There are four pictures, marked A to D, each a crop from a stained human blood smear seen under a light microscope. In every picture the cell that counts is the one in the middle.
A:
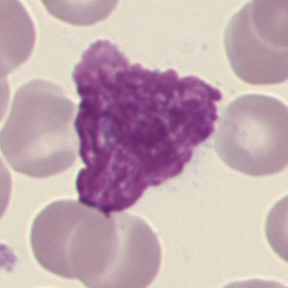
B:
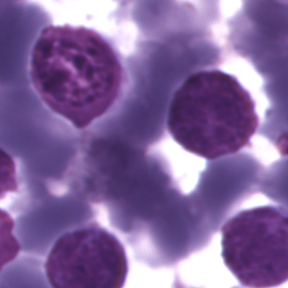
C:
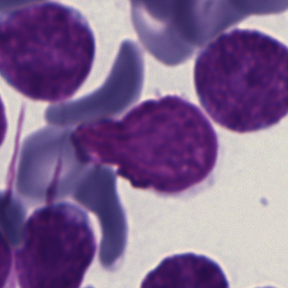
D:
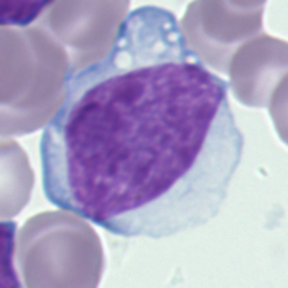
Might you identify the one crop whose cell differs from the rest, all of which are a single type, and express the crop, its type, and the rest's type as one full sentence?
For this set, crop A is a smudge cell, and all the rest are myeloblasts.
